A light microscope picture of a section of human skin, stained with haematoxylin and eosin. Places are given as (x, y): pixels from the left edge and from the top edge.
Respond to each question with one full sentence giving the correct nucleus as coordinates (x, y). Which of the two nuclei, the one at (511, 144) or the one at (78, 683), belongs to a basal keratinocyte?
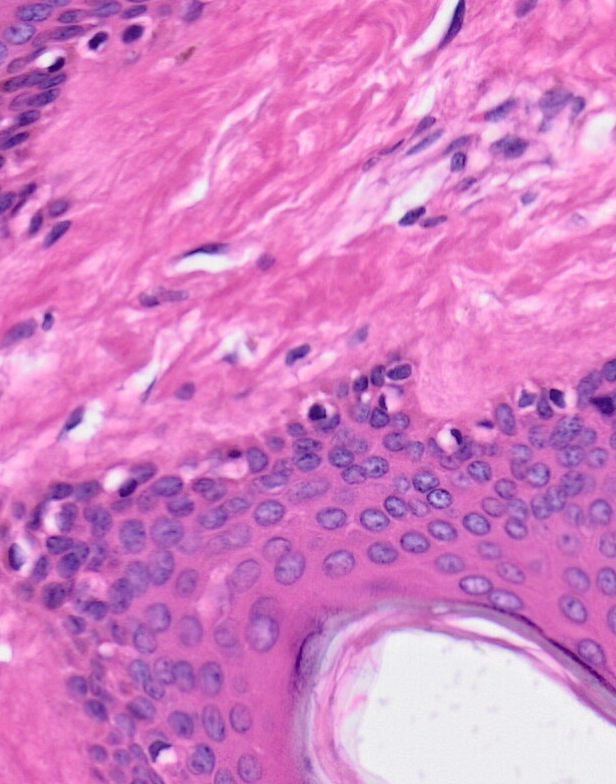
The nucleus that belongs to a basal keratinocyte sits at (78, 683).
